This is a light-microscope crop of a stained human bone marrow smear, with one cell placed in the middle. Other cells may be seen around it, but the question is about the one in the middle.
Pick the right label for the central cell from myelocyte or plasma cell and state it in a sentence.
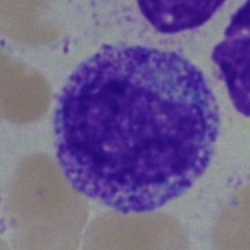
Looking at the middle of the crop, the cell there is a myelocyte.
